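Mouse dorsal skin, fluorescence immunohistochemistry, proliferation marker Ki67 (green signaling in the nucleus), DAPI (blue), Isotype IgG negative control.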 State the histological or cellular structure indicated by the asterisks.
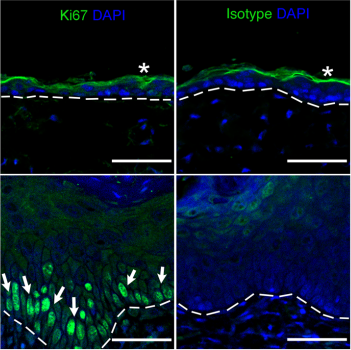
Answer: stratum corneum of epidermis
